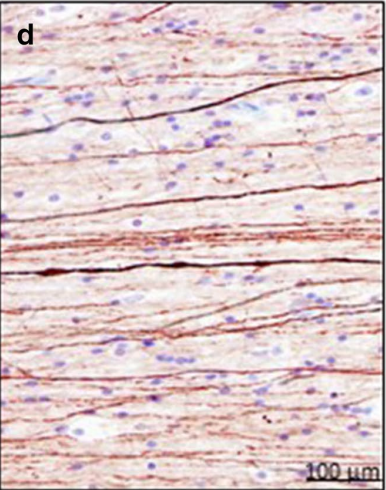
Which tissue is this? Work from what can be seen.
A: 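Long stained fibres run parallel across the whole field. Small oval blue nuclei lie in rows between the fibres. No large neuronal cell bodies are visible. On this evidence: white matter.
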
